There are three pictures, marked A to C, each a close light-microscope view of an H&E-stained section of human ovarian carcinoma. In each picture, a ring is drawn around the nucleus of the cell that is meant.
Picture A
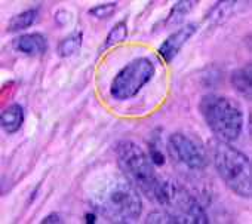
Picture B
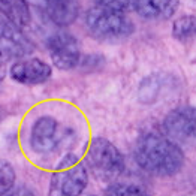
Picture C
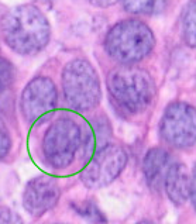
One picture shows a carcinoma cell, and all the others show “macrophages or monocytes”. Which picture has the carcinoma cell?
C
